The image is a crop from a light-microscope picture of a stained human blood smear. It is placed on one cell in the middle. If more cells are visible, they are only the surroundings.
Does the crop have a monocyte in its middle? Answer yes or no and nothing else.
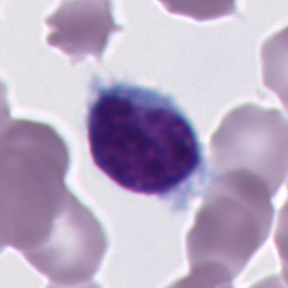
no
